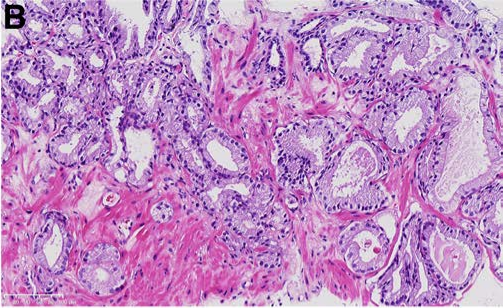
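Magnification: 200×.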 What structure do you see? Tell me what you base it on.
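Small glandular cavities. Many small round lumens lined by a single layer of cuboidal cells. The glands lie crowded close together in pink fibrous stroma. Some lumens contain pale pink secretion.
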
